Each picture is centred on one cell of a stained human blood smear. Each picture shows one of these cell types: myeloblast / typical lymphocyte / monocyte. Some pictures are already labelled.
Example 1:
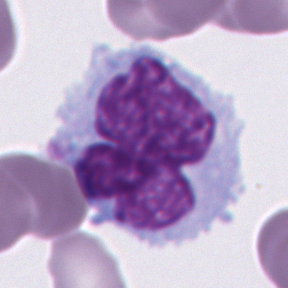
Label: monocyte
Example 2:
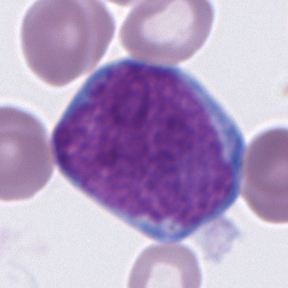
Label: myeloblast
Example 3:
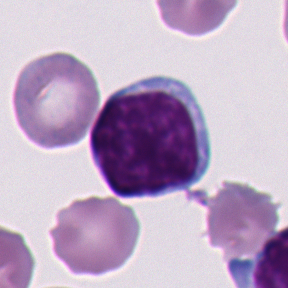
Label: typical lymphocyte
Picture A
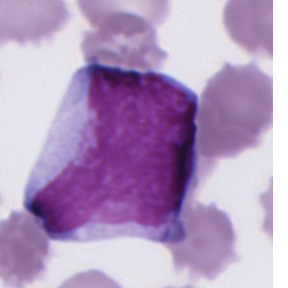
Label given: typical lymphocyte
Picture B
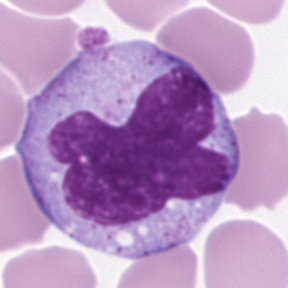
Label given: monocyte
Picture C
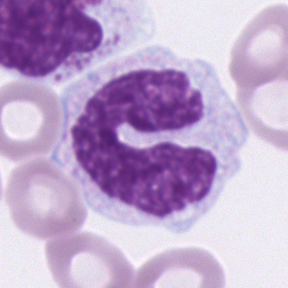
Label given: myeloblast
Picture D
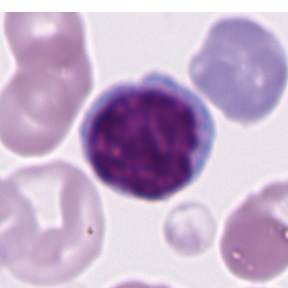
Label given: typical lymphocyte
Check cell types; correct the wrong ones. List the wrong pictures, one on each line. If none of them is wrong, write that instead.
A: not typical lymphocyte but myeloblast
C: not myeloblast but monocyte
